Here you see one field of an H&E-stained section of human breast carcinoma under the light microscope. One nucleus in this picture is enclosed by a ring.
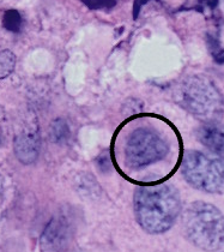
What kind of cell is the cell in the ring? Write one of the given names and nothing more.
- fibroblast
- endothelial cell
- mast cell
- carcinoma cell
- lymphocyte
carcinoma cell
